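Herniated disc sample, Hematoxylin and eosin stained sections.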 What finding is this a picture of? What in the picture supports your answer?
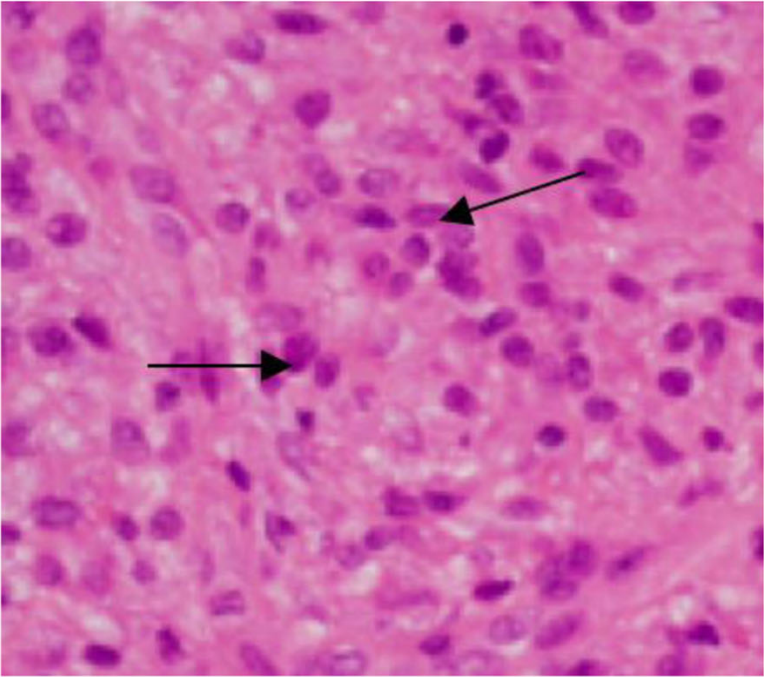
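Densely packed cells fill the whole field. Many oval to elongated dark purple nuclei lie close together.
Answer: inflammatory granulation tissue infiltration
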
